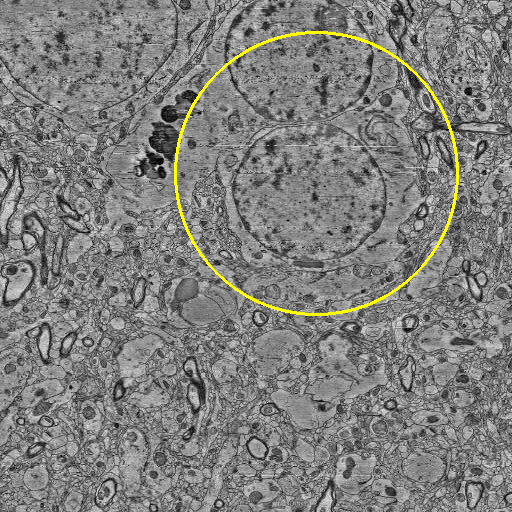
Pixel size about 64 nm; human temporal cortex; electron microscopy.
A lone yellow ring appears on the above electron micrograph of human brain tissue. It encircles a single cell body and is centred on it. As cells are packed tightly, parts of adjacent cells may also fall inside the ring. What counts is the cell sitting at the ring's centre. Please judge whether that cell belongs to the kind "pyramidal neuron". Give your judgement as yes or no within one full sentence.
No, the cell lying at the centre of the ring in the picture belongs to another kind.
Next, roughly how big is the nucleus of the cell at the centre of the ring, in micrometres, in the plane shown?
The nucleus is about 10 micrometres across in this plane.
